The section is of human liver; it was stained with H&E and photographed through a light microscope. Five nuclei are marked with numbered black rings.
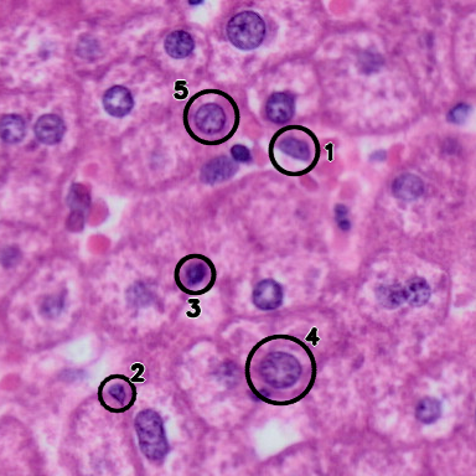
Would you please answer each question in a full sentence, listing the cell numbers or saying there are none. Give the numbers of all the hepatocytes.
To be specific, the cells numbered 4 and 5 are hepatocytes.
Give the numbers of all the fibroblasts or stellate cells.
The cells referred to by the numbers 2 and 3 are fibroblasts or stellate cells.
